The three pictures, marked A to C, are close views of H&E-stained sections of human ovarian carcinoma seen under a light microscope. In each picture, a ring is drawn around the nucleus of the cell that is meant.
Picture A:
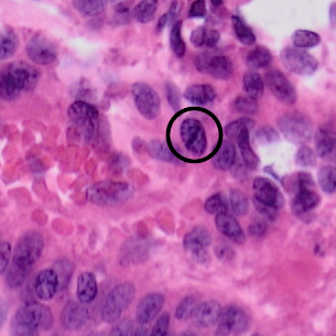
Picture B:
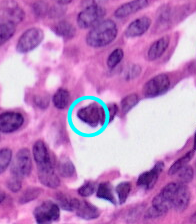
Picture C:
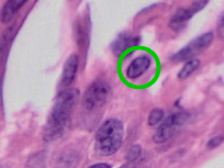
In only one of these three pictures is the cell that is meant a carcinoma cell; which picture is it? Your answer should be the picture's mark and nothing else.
B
